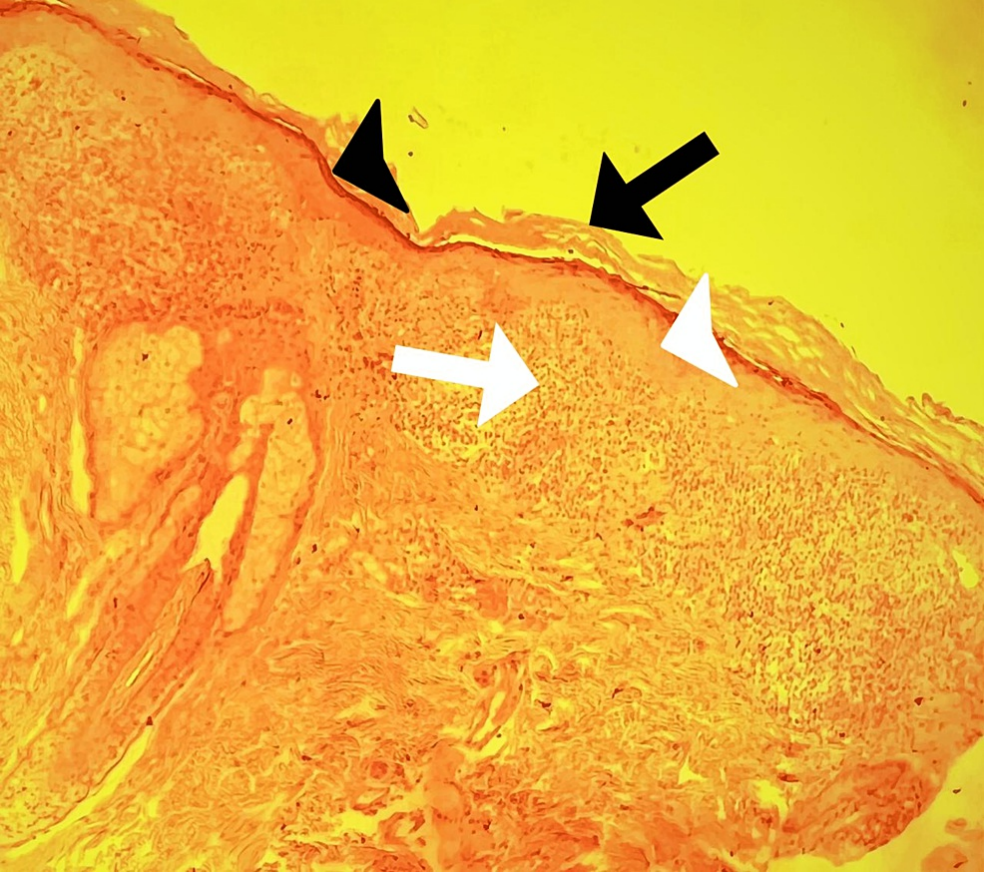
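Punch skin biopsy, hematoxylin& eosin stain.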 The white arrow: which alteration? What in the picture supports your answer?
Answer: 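Band-like infiltrate. The arrow points to a dense zone of many small, dark, round nuclei. This zone lies just beneath the epidermis. The zone runs parallel to the surface as a band.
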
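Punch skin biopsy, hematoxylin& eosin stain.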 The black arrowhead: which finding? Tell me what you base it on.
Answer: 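The arrowhead points to a dark, dense line just under the surface layer. This dark line lies at the top of the epidermis.
Hence: hypergranulosis.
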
